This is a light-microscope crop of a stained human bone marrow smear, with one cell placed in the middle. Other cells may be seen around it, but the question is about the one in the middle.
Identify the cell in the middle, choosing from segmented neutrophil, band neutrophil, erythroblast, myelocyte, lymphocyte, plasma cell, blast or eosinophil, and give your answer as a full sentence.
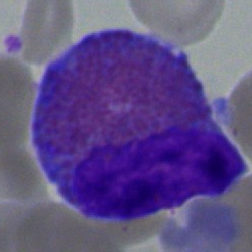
The cell the crop is centered on is an eosinophil.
